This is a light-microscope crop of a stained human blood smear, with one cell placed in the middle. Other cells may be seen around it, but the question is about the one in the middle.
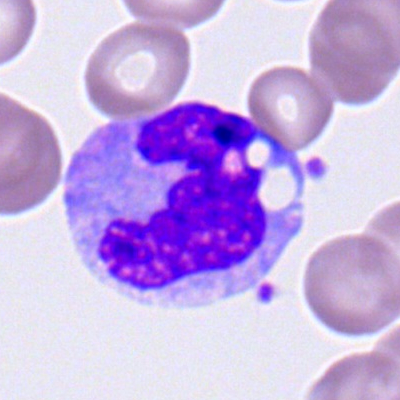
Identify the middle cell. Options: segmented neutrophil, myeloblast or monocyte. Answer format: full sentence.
The cell found in the middle of this crop is a monocyte.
